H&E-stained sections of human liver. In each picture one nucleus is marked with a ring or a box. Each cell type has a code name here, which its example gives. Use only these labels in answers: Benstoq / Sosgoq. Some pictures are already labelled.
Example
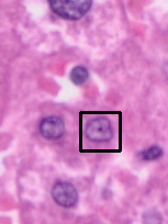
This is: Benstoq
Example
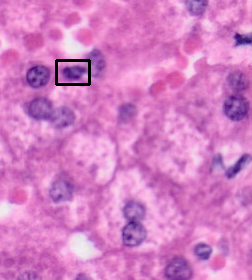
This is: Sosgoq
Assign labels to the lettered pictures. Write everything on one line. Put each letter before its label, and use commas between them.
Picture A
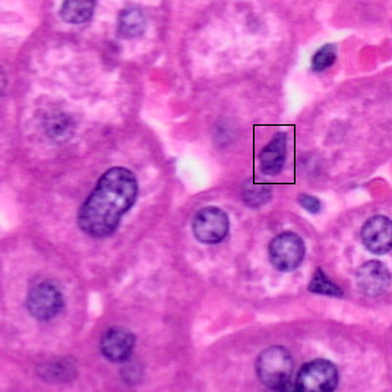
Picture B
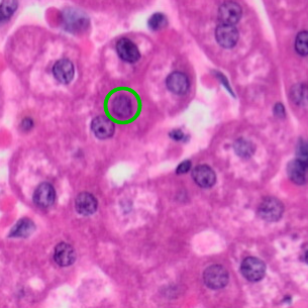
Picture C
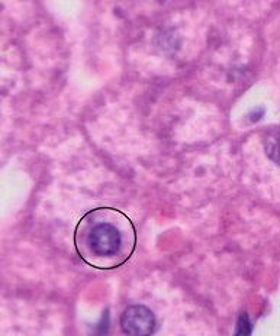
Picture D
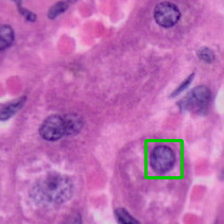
A Sosgoq, B Benstoq, C Benstoq, D Benstoq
